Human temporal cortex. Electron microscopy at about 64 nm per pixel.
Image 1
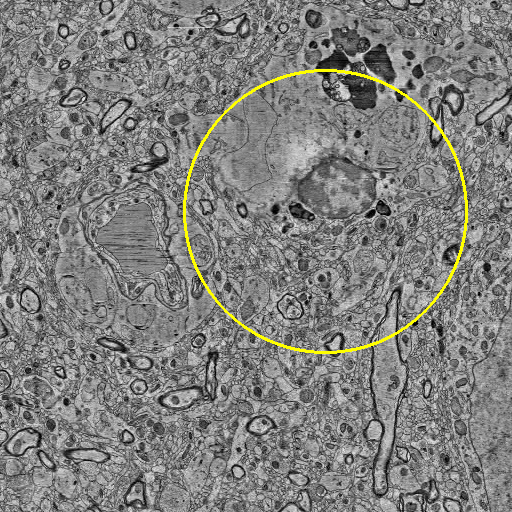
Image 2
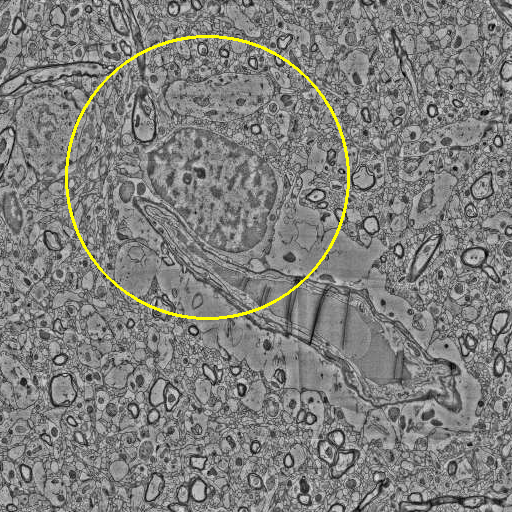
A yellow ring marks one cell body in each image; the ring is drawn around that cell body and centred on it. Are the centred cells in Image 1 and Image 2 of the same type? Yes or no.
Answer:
no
